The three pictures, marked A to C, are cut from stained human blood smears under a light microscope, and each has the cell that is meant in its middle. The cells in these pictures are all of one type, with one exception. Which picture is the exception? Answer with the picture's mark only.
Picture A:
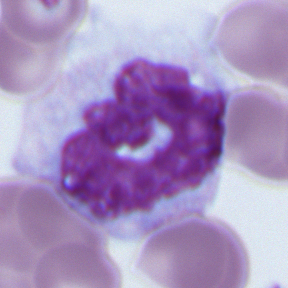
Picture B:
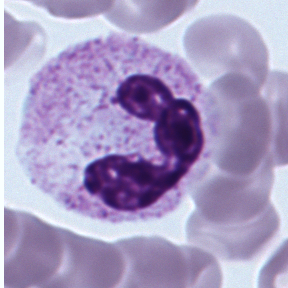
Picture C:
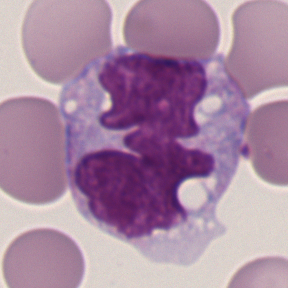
B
